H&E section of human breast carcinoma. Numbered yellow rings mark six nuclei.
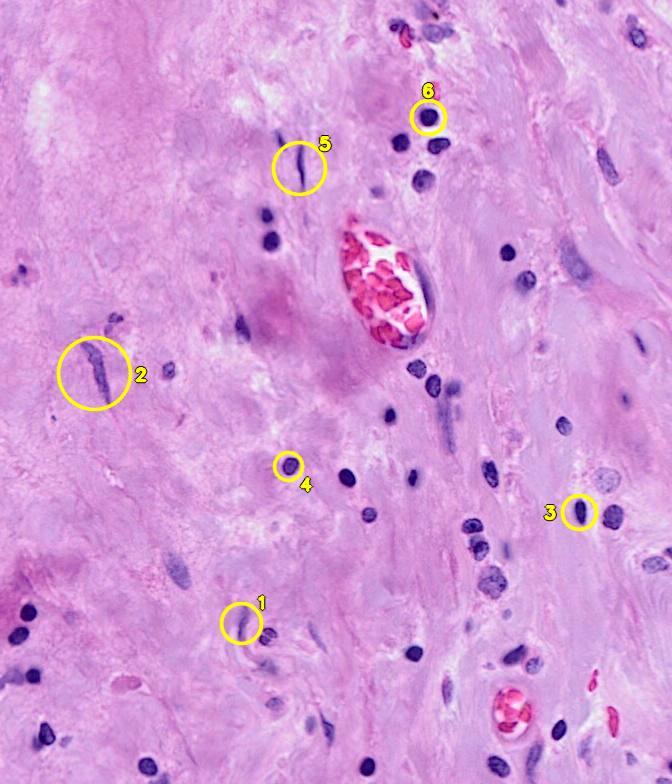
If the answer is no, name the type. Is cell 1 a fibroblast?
Yes.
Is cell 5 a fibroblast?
Yes.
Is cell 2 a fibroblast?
Yes.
